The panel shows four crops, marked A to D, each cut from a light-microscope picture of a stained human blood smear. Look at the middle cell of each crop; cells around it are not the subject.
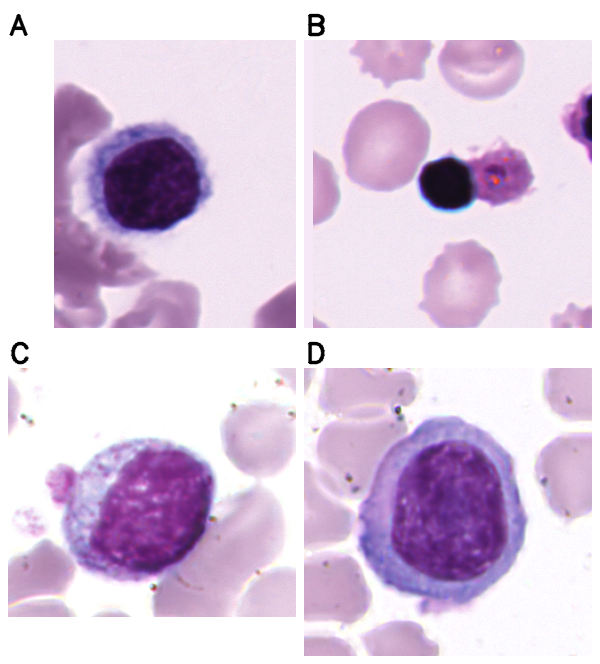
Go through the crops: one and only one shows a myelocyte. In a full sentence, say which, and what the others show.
Sorting them out, crop C is a myelocyte, while crop A is a hairy cell, crop B is a normoblast and crop D is a plasma cell.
